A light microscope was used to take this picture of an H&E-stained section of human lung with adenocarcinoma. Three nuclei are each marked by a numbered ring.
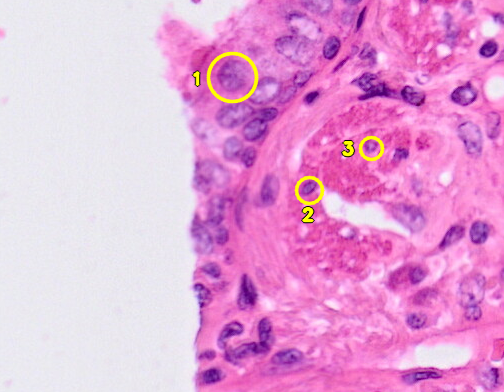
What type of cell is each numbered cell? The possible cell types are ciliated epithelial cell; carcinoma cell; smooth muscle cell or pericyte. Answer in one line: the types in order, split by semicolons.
ciliated epithelial cell; smooth muscle cell or pericyte; smooth muscle cell or pericyte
